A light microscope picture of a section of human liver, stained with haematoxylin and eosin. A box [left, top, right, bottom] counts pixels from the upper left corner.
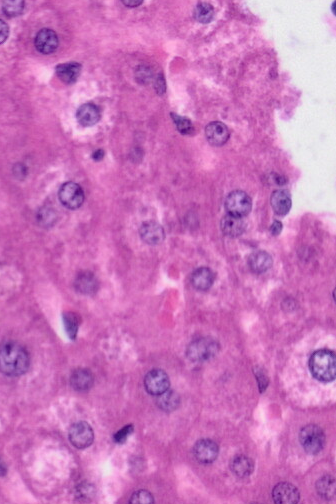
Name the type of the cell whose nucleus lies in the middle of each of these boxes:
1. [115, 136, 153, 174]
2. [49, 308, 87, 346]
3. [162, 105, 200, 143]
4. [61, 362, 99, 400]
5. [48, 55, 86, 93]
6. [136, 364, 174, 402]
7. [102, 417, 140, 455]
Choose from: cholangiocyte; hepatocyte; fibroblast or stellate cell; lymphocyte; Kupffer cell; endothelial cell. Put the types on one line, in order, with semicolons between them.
hepatocyte; endothelial cell; endothelial cell; hepatocyte; endothelial cell; hepatocyte; fibroblast or stellate cell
